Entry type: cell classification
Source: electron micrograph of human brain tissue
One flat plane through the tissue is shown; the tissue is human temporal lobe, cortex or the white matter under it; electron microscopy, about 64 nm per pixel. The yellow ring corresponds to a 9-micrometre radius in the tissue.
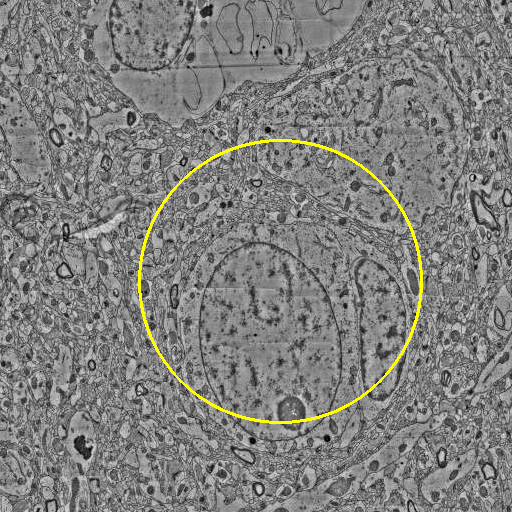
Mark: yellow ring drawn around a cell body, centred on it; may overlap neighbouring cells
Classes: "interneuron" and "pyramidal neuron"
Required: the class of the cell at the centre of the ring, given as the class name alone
pyramidal neuron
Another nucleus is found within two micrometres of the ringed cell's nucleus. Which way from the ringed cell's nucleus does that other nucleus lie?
That other nucleus lies to the right of it.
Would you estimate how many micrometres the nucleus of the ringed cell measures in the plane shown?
In this plane the nucleus measures roughly 13 by 9 micrometers.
